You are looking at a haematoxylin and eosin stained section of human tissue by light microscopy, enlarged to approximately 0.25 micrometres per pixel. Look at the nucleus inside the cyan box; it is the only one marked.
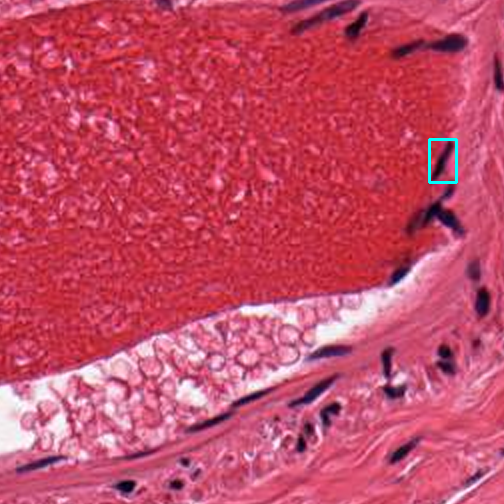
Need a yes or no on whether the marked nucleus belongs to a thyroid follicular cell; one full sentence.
No, the cell that carries the marked nucleus is a supporting cell, not a thyroid follicular cell.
